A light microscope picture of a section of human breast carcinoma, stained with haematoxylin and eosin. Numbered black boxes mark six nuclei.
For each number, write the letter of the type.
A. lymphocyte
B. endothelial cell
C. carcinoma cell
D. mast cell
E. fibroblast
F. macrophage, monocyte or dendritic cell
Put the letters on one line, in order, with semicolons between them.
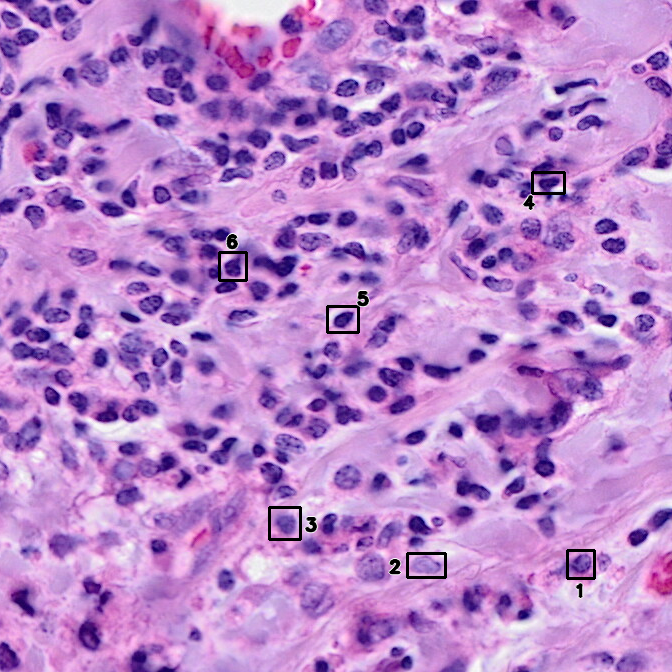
D; F; D; A; A; A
